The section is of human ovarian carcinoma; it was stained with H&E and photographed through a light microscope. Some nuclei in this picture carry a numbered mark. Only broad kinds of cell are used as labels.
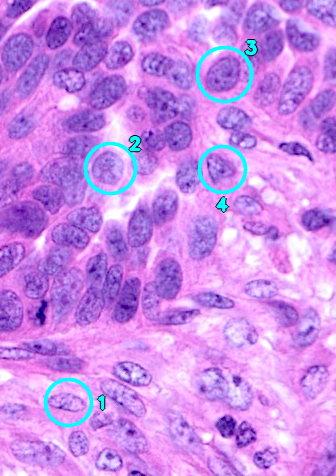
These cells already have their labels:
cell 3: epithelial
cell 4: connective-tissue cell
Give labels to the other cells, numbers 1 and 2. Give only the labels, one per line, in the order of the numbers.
connective-tissue cell
epithelial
